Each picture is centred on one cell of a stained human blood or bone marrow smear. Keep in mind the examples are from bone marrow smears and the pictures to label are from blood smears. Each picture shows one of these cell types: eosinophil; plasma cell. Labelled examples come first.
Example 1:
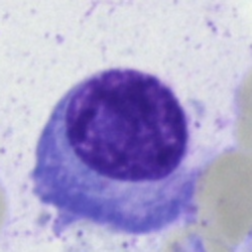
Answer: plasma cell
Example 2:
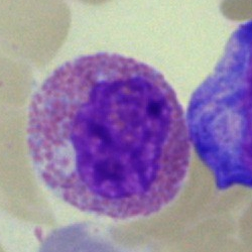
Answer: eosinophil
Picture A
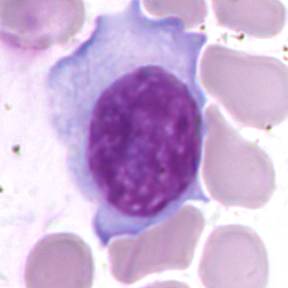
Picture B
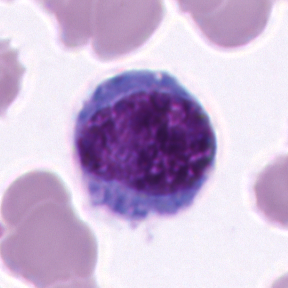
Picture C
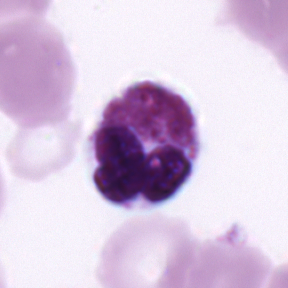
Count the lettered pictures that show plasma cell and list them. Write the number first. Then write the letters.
2: A, B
